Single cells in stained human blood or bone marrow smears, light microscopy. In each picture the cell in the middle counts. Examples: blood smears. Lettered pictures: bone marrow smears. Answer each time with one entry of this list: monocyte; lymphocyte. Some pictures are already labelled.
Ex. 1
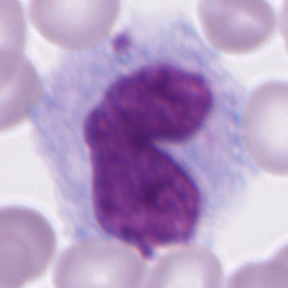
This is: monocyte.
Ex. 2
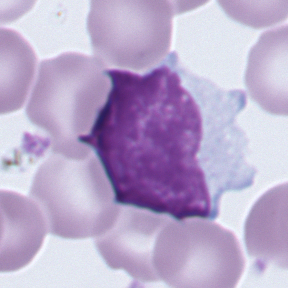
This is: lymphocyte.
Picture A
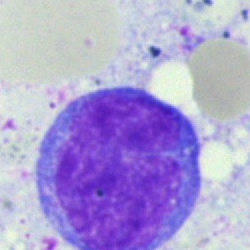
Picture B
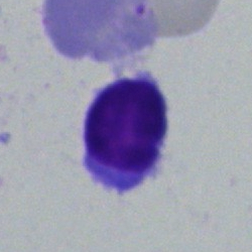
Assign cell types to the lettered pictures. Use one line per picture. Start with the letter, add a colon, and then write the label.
A: monocyte.
B: lymphocyte.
